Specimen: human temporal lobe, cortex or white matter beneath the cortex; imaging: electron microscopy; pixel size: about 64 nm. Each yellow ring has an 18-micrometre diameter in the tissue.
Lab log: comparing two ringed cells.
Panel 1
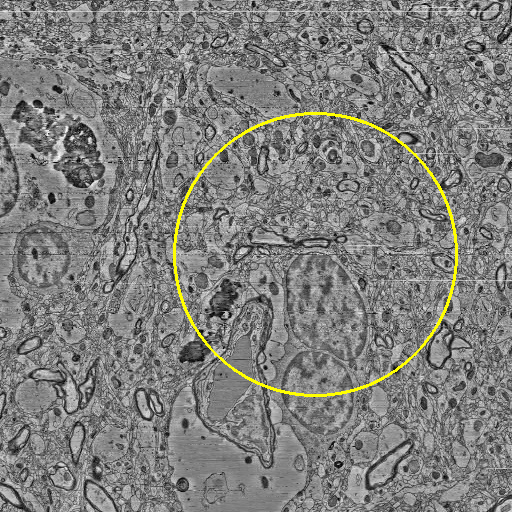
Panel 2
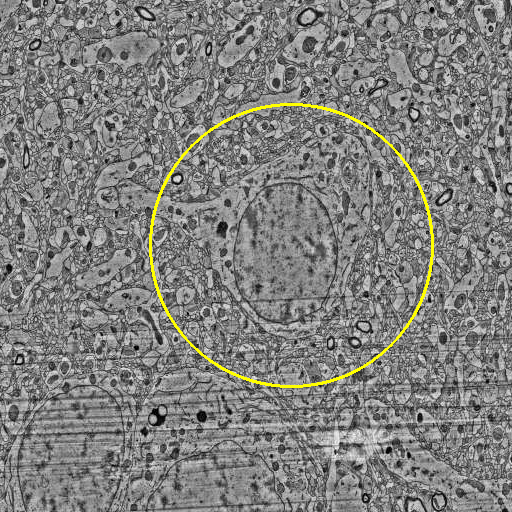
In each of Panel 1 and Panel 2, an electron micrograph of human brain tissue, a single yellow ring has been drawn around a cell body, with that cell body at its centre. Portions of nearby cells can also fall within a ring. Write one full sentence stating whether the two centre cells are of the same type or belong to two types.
The cells at the ring centres in Panel 1 and Panel 2 belong to two types.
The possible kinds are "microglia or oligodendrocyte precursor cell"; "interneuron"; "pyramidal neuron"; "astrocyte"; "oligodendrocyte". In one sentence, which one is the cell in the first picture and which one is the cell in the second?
The cell ringed in the second picture is a pyramidal neuron, whereas the one ringed in the first is an oligodendrocyte.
